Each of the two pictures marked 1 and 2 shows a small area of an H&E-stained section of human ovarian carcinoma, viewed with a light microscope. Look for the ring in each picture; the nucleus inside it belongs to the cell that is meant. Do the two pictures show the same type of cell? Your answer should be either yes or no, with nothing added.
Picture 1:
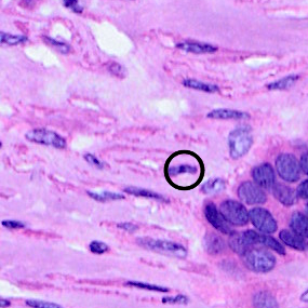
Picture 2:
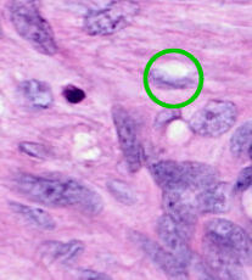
yes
